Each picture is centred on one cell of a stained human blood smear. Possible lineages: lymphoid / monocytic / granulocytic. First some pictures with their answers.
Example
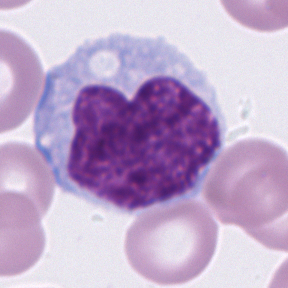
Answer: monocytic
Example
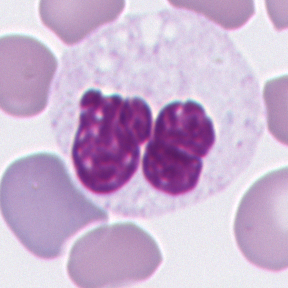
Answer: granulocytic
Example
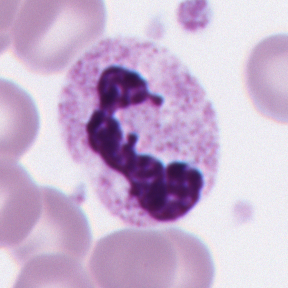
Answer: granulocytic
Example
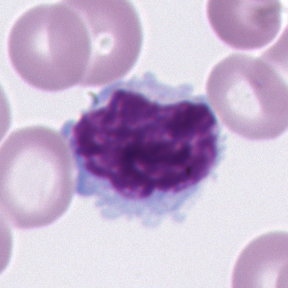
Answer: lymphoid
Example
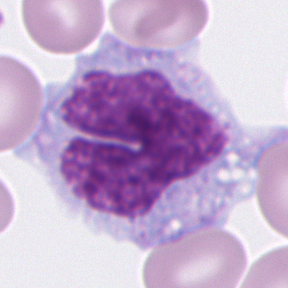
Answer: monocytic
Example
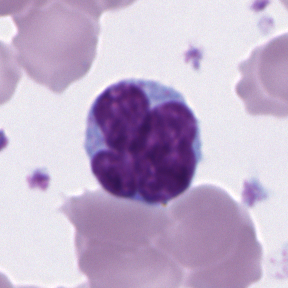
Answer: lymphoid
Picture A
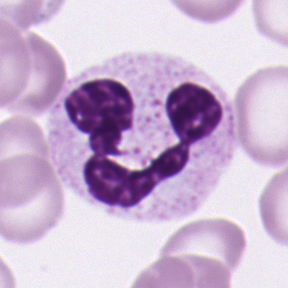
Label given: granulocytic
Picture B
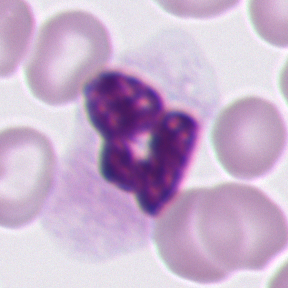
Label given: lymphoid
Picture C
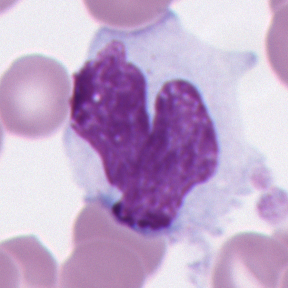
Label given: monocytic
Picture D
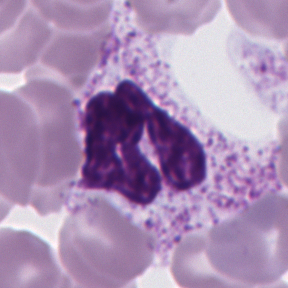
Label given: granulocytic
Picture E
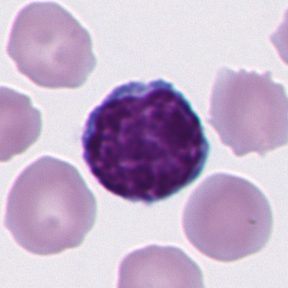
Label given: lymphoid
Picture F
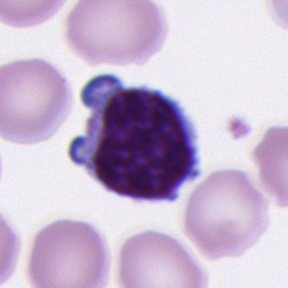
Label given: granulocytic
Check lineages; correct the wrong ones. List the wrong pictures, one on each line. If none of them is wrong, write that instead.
B: not lymphoid but granulocytic
F: not granulocytic but lymphoid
